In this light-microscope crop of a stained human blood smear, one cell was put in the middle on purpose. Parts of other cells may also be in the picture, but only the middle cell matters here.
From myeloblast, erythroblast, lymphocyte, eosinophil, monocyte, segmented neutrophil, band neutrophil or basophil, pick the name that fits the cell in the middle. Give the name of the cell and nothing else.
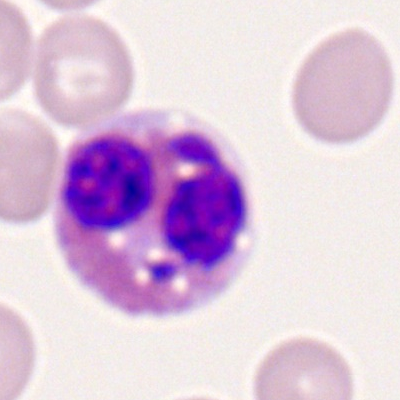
eosinophil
